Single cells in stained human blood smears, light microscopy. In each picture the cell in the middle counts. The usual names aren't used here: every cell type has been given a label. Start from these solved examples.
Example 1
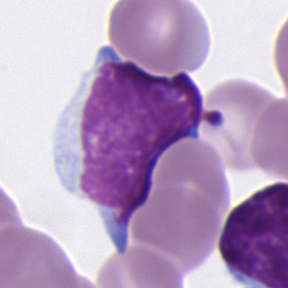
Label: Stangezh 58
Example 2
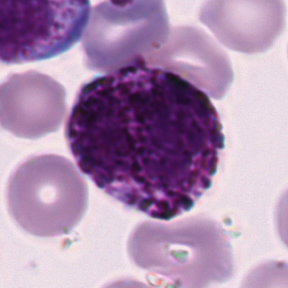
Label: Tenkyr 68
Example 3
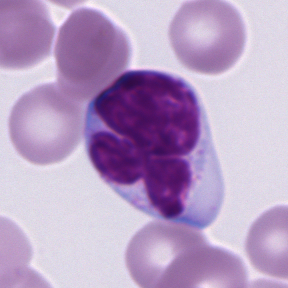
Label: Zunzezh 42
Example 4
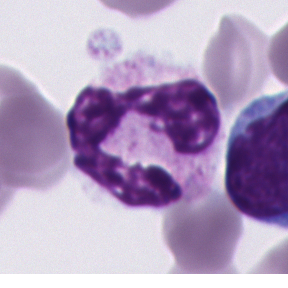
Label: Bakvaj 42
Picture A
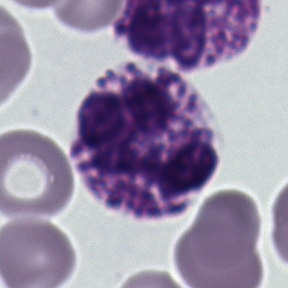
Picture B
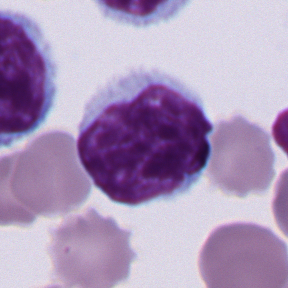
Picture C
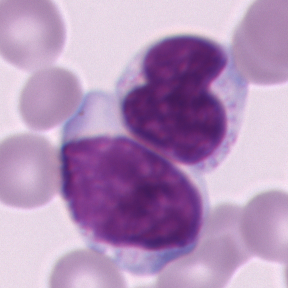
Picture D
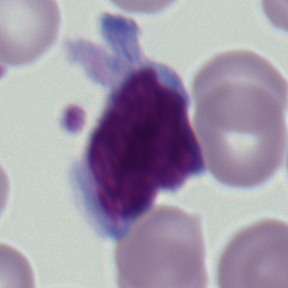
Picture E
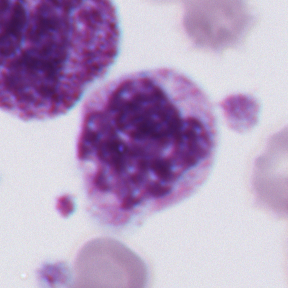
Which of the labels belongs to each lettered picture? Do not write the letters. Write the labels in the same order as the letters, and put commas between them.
Tenkyr 68, Stangezh 58, Zunzezh 42, Stangezh 58, Bakvaj 42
